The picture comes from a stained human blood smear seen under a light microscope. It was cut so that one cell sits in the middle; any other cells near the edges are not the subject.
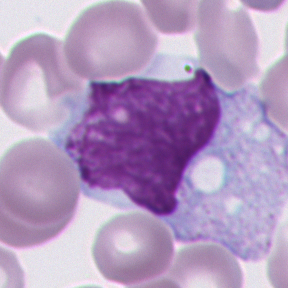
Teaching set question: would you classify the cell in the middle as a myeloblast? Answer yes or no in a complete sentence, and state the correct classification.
No, it is a monocyte that sits in the middle, not a myeloblast.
